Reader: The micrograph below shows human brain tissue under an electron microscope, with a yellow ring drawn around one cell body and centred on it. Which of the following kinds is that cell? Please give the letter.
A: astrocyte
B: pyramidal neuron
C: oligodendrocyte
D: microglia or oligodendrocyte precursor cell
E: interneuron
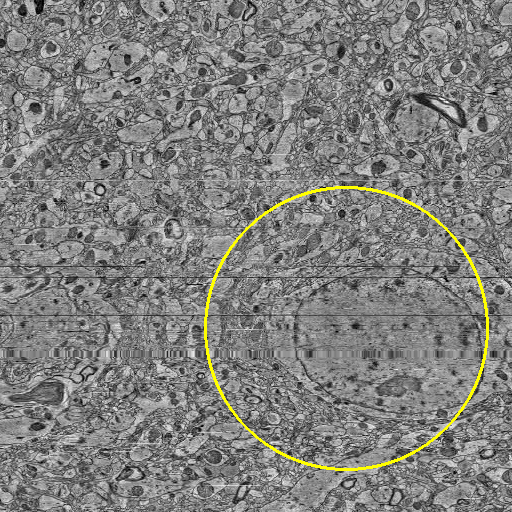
B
